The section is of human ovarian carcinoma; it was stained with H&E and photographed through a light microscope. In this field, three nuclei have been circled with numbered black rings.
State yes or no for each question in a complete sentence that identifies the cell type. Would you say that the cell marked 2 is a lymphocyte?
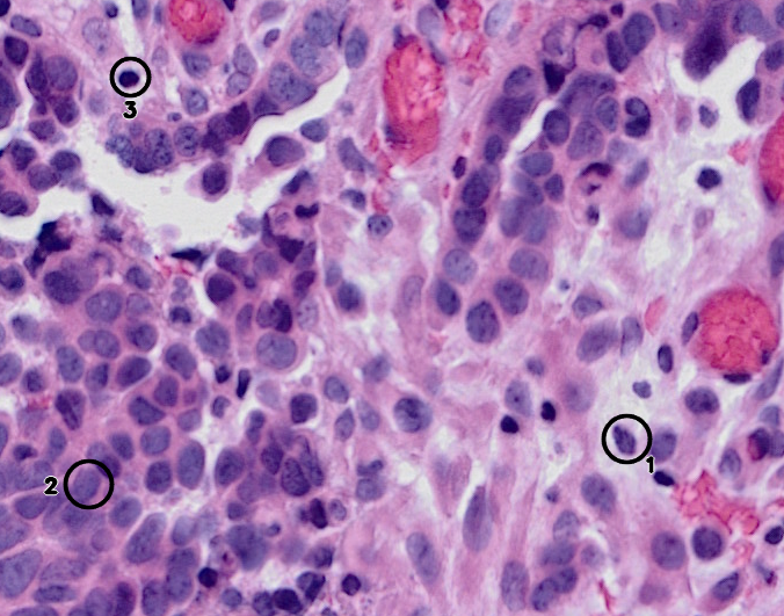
No, the cell at number 2 is a carcinoma cell instead of a lymphocyte.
